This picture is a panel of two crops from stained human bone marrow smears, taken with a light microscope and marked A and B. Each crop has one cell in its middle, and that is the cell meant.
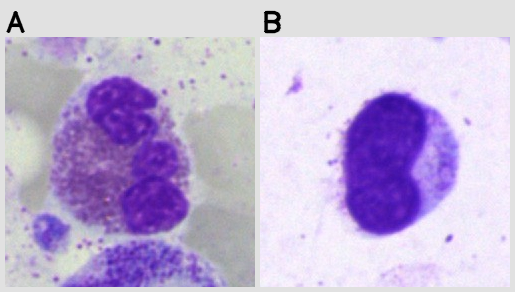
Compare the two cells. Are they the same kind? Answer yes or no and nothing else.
no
